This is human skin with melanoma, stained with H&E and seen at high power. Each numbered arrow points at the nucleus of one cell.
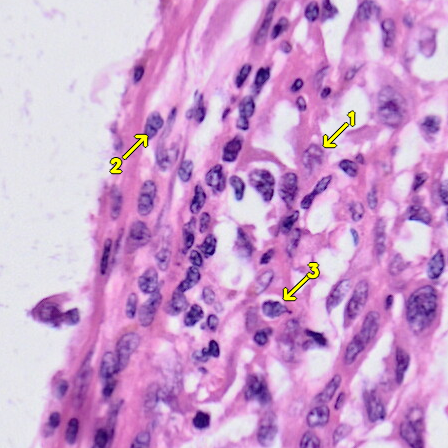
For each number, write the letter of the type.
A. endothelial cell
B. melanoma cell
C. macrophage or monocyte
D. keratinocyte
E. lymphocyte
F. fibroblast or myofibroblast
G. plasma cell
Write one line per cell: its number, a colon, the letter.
1: B
2: E
3: E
